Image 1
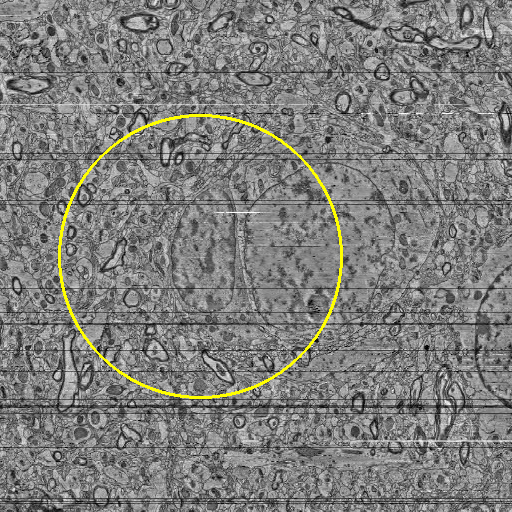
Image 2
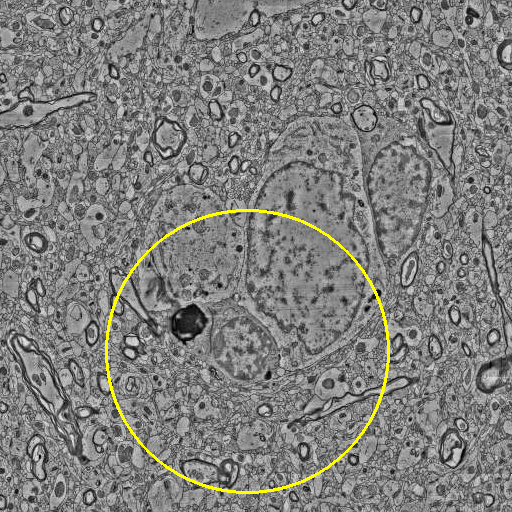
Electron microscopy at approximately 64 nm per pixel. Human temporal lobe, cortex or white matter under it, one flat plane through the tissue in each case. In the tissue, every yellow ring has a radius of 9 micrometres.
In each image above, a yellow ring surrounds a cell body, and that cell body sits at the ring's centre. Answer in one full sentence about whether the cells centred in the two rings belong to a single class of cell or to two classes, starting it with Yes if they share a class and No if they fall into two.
Yes, the cells centred in the two yellow rings belong to a single class of cell.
